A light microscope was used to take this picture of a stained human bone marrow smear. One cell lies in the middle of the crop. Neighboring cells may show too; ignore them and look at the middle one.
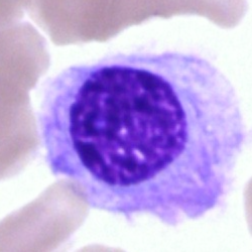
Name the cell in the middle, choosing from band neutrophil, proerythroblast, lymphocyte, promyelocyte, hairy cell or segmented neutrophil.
hairy cell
